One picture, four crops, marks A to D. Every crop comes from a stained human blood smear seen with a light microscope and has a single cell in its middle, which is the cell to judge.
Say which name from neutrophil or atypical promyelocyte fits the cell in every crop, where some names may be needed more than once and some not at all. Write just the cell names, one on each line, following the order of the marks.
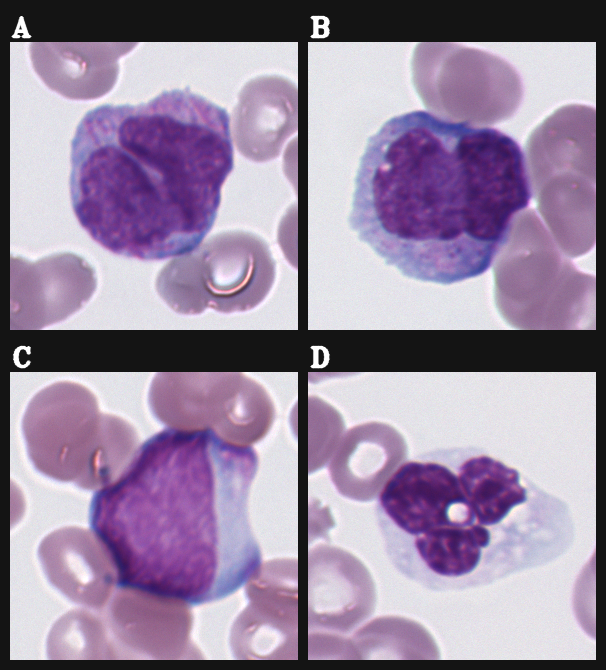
atypical promyelocyte
atypical promyelocyte
atypical promyelocyte
neutrophil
